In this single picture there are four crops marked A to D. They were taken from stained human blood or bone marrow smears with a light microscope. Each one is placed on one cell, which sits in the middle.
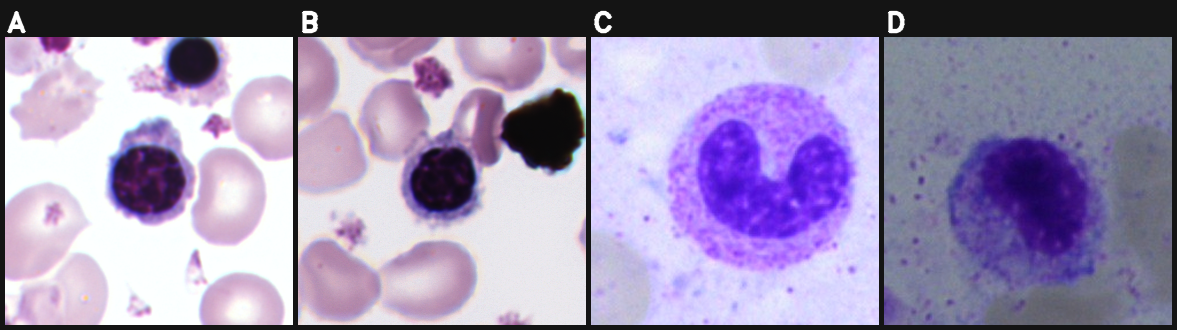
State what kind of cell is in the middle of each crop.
A: erythroblast
B: erythroblast
C: band neutrophil
D: myelocyte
